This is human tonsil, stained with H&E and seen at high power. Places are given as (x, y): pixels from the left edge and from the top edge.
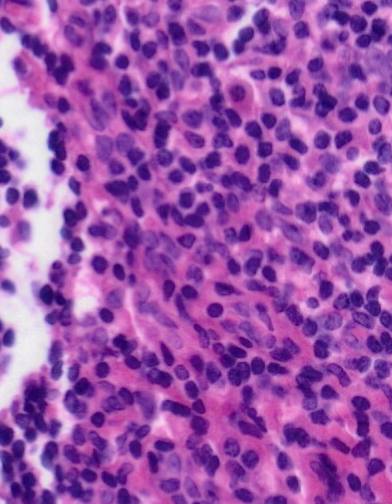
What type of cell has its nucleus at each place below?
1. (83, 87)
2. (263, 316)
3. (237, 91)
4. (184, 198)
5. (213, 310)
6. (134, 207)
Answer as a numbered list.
1. endothelial cell
2. endothelial cell
3. plasma cell
4. small lymphocyte
5. endothelial cell
6. endothelial cell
